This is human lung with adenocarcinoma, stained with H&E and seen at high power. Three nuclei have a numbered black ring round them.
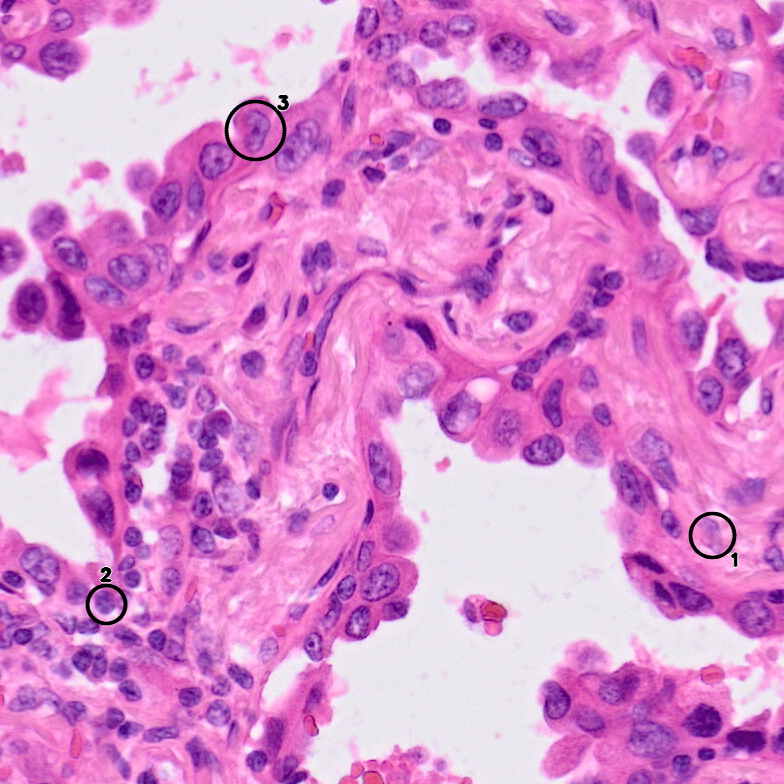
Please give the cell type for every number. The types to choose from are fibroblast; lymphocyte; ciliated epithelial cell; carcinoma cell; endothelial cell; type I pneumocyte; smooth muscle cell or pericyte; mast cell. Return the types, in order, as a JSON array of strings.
["fibroblast", "lymphocyte", "carcinoma cell"]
